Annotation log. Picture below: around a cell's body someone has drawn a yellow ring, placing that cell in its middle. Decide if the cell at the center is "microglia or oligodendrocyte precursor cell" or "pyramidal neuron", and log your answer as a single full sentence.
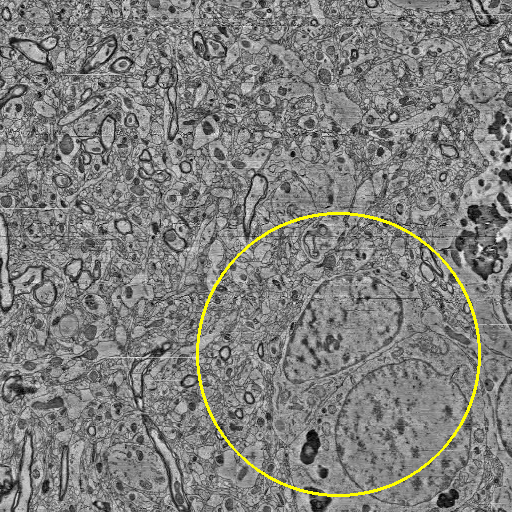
My entry records a microglial cell or oligodendrocyte precursor cell as the cell sitting at the center of the yellow ring.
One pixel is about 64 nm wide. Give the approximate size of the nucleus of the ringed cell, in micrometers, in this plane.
About 9 by 6 micrometers for the nucleus, in this plane.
